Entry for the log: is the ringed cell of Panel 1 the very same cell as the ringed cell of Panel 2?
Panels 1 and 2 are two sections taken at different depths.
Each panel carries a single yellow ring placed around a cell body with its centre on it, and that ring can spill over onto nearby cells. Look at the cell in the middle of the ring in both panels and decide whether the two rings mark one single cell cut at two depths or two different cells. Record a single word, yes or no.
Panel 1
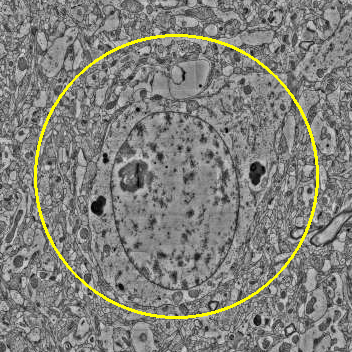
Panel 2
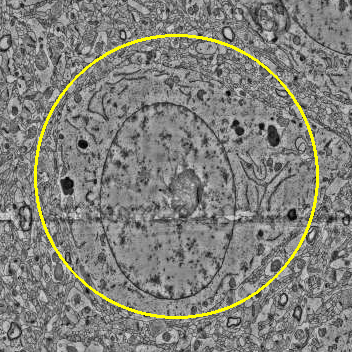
no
